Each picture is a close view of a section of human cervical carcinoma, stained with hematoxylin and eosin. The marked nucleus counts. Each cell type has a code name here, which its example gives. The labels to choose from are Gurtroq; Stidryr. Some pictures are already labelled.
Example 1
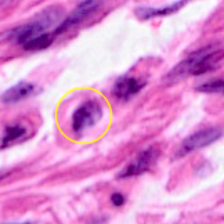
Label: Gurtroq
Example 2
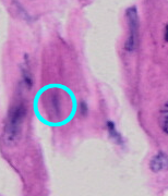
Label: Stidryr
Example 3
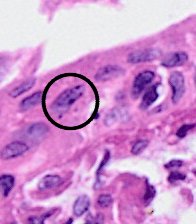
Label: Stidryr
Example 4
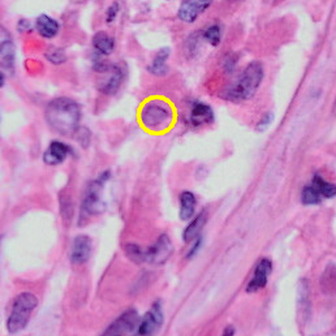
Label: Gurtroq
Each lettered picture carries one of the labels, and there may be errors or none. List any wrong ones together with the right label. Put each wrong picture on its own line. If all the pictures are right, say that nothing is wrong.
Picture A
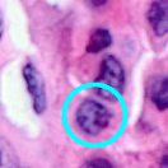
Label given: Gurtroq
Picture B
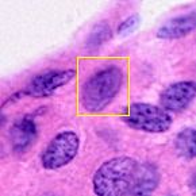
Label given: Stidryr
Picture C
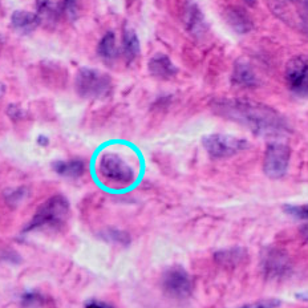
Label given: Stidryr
A is labelled Gurtroq; correct label: Stidryr
C is labelled Stidryr; correct label: Gurtroq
